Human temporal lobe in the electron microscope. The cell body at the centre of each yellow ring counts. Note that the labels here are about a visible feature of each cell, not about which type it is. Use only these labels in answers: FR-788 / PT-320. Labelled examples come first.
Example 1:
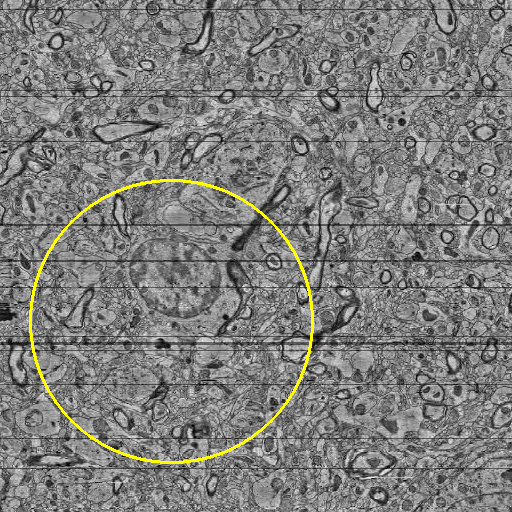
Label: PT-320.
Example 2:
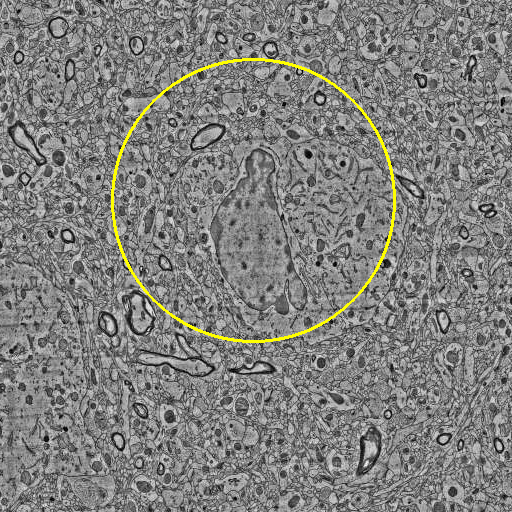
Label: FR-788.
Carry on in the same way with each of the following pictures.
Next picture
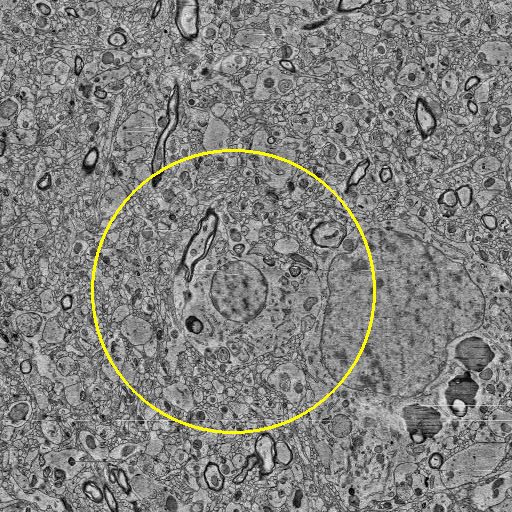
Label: PT-320.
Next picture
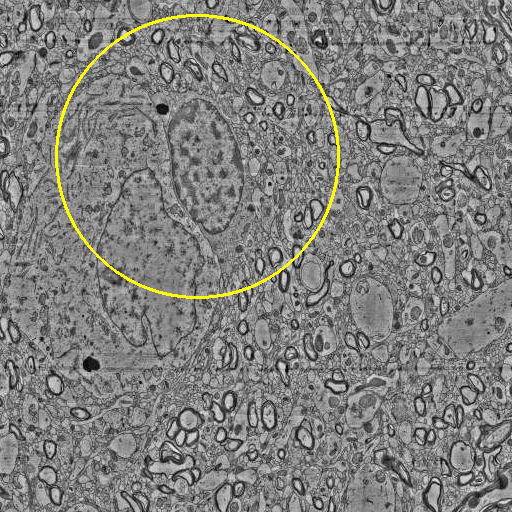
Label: FR-788.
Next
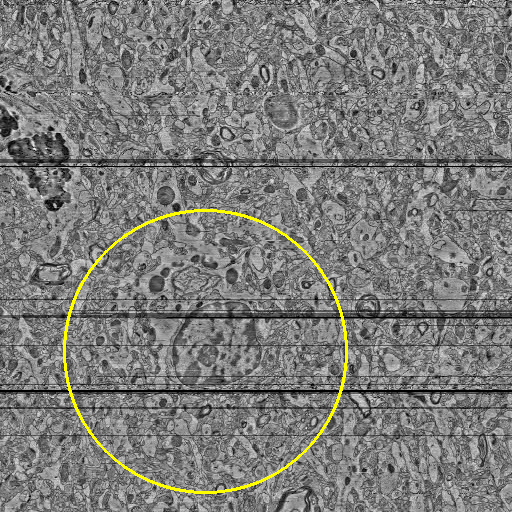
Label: PT-320.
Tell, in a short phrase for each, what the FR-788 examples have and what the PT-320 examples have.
In FR-788: clearly elongated nuclei. In PT-320: round or nearly round nuclei.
